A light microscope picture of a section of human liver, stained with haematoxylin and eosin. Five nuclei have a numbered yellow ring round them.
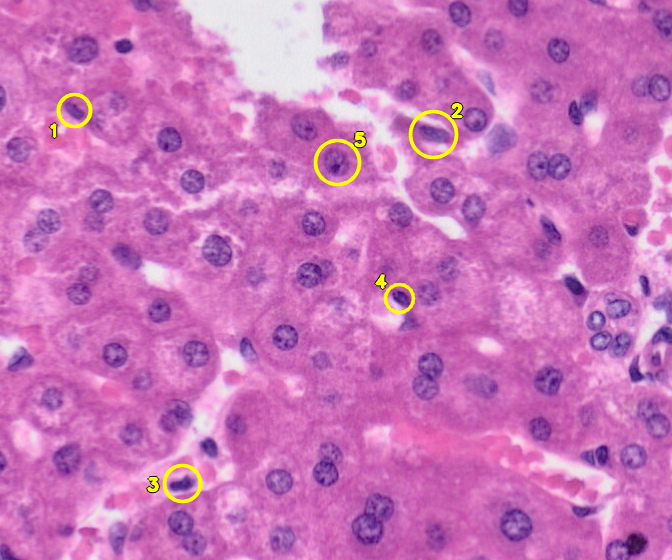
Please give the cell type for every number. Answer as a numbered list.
1. fibroblast or stellate cell
2. Kupffer cell
3. lymphocyte
4. fibroblast or stellate cell
5. hepatocyte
